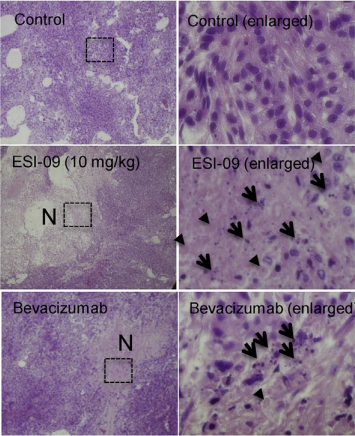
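In the top tissue, tumor cells form dense sheets with purple oval nuclei and pink cytoplasm. In the two lower tissues, broad pale pink areas lie beside denser purple-stained regions. At high magnification, these pale areas contain few intact nuclei. Instead, small dark purple nuclear fragments are scattered among them, along with faint, fading nuclear outlines. Some cell borders are indistinct.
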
